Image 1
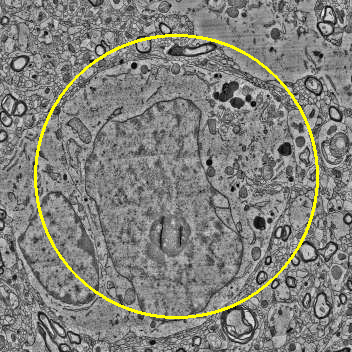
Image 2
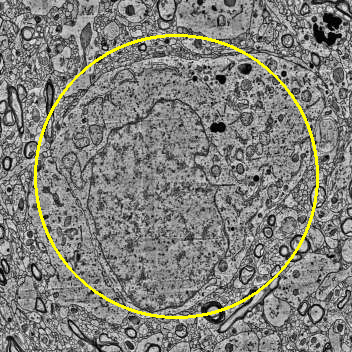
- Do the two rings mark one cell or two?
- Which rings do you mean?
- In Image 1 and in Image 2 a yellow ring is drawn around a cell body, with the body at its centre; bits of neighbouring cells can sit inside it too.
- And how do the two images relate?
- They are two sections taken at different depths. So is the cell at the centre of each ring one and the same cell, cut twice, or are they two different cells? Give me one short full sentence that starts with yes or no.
Yes, both circles in yellow pick out the same cell.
